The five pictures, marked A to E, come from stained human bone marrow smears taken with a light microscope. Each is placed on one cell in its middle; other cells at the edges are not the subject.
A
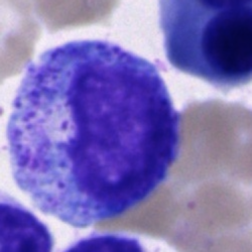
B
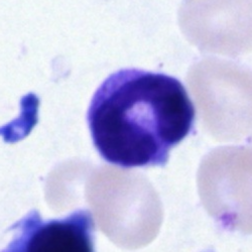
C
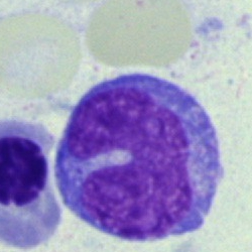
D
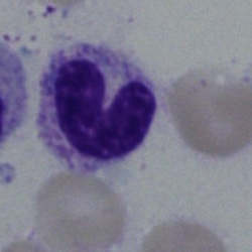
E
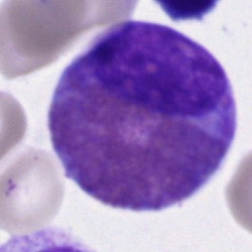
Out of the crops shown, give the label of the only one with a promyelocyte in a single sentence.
Crop A is the single crop that shows a promyelocyte.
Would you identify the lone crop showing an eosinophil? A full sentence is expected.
Crop E, of the crops presented, is the one showing an eosinophil.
